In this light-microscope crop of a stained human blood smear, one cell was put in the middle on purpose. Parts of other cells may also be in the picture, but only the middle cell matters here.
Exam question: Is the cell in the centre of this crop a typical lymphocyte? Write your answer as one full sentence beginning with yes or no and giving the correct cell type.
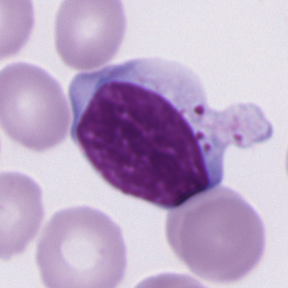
No, the cell in the middle should be called a large granular lymphocyte instead of a typical lymphocyte.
